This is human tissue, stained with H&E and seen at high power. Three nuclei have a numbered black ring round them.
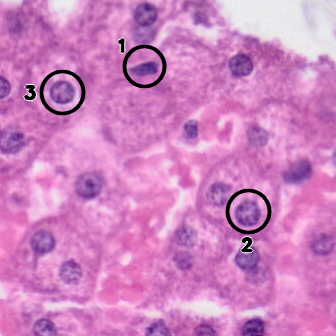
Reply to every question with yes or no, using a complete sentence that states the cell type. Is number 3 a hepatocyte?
Yes, in the section, number 3 is a hepatocyte.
